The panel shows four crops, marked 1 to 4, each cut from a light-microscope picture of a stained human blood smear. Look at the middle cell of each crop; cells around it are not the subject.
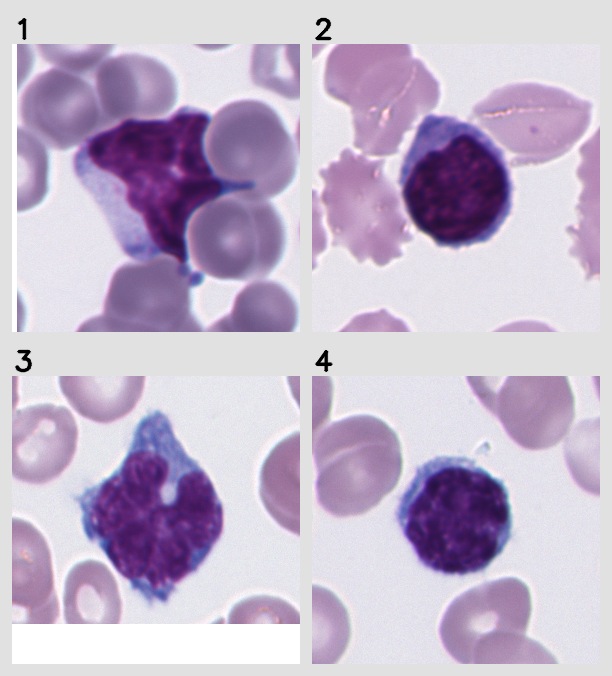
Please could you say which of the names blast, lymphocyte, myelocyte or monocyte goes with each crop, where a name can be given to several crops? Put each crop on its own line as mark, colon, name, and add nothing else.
1: lymphocyte
2: lymphocyte
3: monocyte
4: lymphocyte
